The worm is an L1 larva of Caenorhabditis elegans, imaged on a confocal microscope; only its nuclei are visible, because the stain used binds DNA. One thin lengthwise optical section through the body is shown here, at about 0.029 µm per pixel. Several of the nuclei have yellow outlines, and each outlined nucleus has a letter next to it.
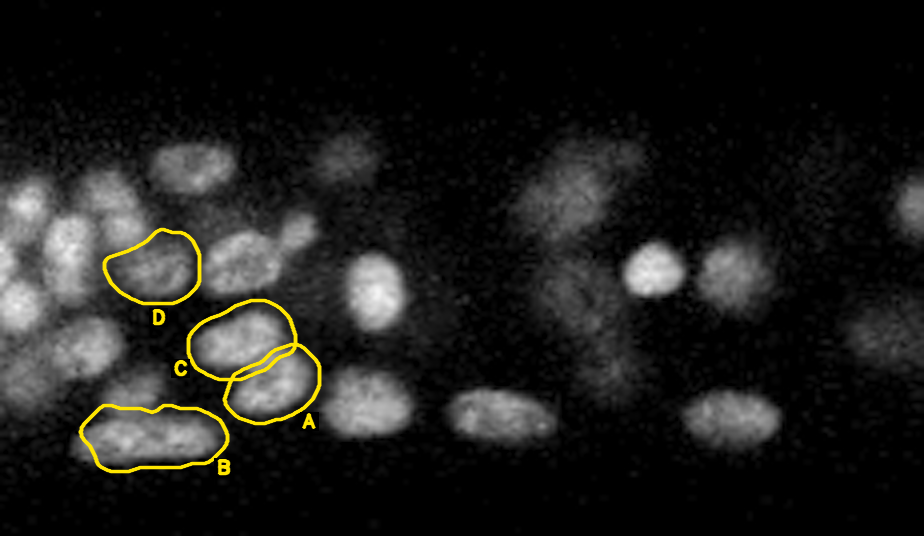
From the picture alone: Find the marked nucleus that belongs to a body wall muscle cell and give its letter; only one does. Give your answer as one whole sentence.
The one from a body wall muscle cell is B.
